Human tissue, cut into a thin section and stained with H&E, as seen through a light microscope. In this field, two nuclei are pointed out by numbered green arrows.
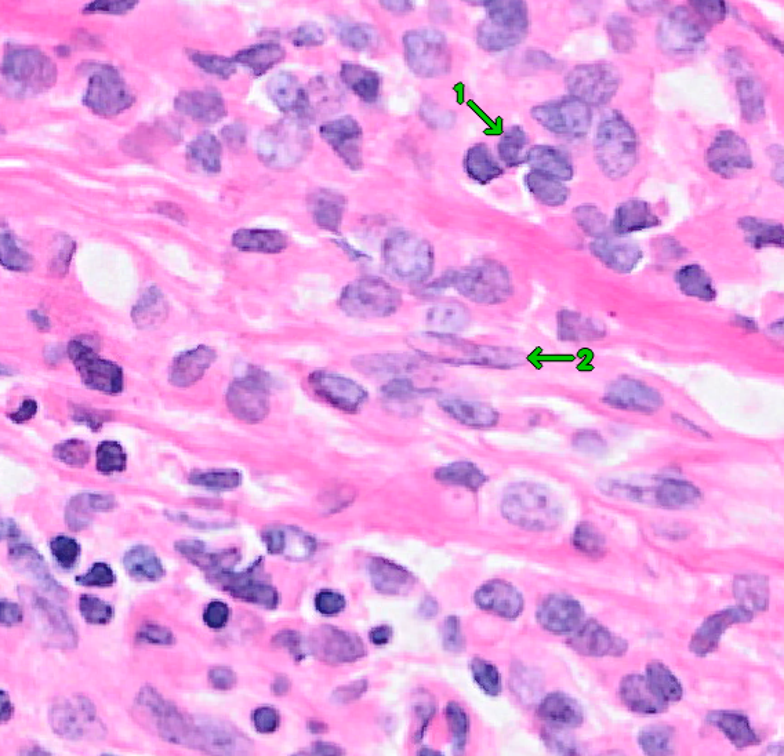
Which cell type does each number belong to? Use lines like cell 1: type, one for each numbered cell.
cell 1: carcinoma cell
cell 2: endothelial cell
